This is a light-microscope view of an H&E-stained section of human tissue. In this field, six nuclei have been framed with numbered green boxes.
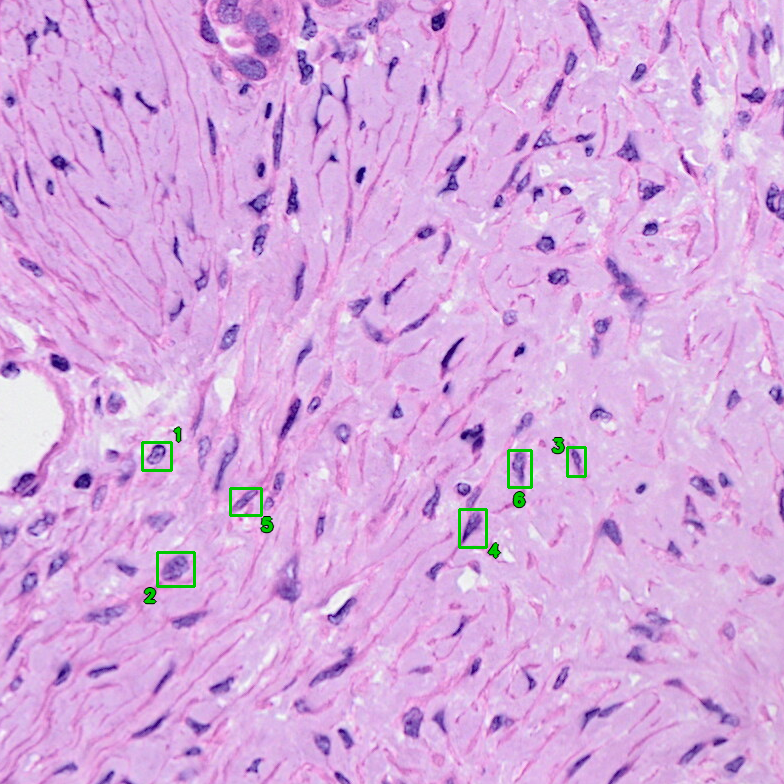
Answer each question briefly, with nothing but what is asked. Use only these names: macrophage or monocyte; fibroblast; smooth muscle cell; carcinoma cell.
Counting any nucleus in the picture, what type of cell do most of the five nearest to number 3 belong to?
macrophage or monocyte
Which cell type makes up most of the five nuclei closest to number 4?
fibroblast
